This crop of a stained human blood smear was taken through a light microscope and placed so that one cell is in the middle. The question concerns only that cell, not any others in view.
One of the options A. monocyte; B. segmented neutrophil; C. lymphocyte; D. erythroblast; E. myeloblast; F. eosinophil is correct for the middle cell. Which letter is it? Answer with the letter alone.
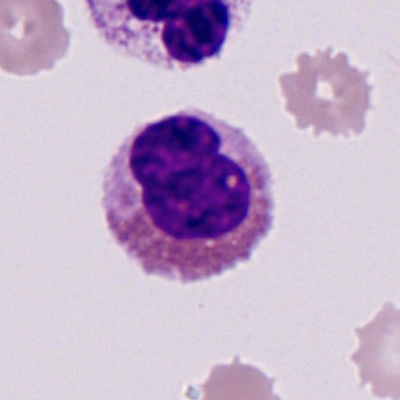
F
